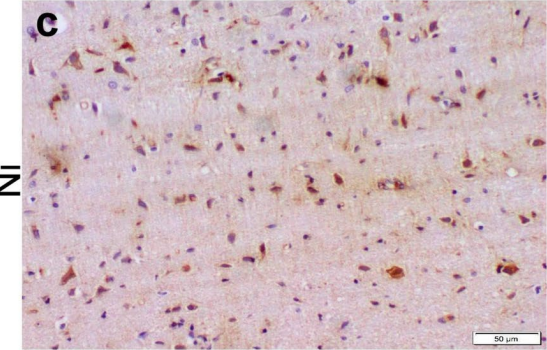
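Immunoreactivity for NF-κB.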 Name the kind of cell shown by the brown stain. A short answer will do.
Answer: Neurons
